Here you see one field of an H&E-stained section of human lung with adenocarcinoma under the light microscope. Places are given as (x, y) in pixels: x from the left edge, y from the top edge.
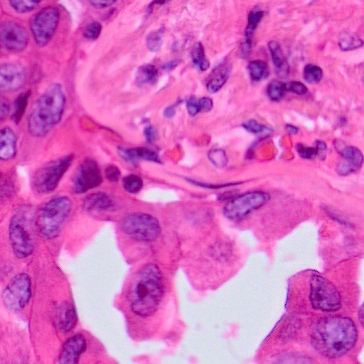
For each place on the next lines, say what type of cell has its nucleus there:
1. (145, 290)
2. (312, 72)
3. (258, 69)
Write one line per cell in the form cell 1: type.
cell 1: carcinoma cell
cell 2: lymphocyte
cell 3: plasma cell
